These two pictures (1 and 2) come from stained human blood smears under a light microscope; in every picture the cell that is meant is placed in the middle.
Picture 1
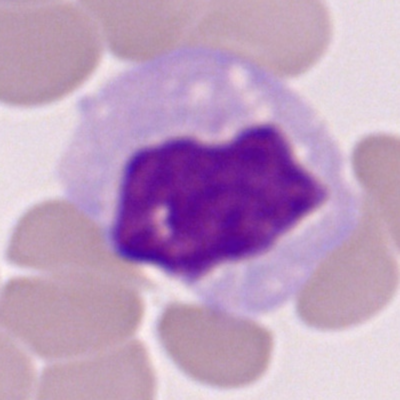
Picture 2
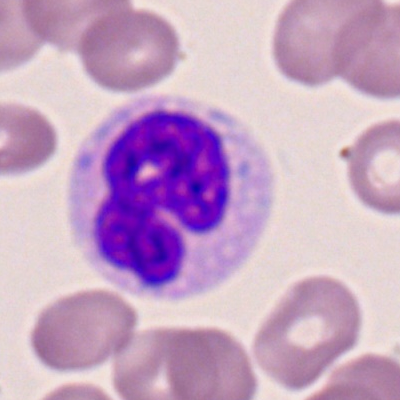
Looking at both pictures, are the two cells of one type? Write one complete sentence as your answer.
No, they differ: the cell is a monocyte in picture 1 and a segmented neutrophil in picture 2.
